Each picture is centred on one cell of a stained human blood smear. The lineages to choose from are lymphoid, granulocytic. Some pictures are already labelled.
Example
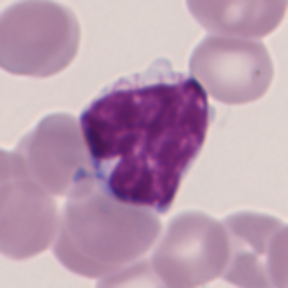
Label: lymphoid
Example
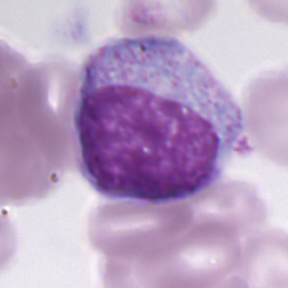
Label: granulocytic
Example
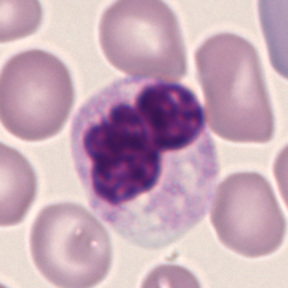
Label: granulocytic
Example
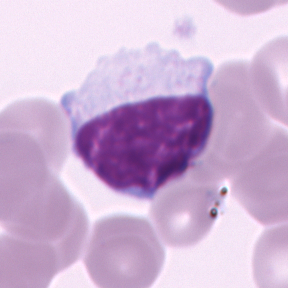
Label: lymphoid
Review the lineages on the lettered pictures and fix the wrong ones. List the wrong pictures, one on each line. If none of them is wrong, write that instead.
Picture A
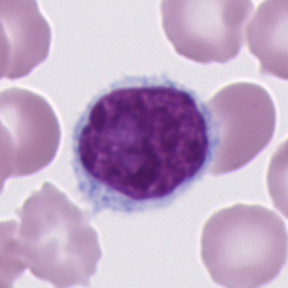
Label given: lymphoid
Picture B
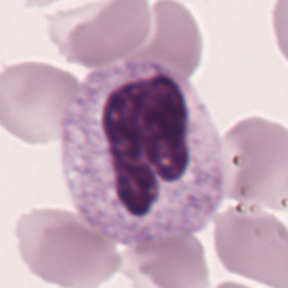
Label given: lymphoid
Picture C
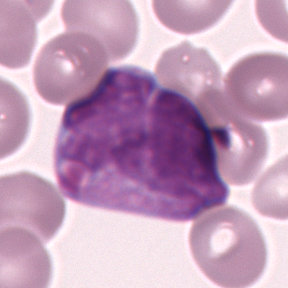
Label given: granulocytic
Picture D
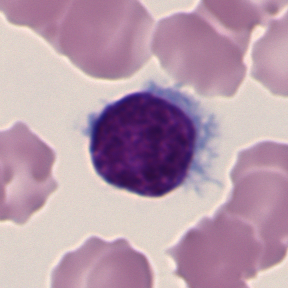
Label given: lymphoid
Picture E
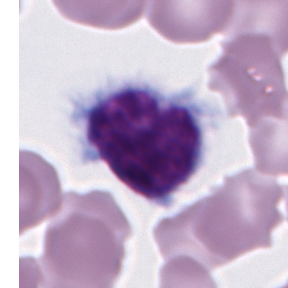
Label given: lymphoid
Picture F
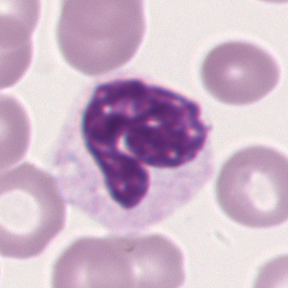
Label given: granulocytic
B should be granulocytic, not lymphoid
